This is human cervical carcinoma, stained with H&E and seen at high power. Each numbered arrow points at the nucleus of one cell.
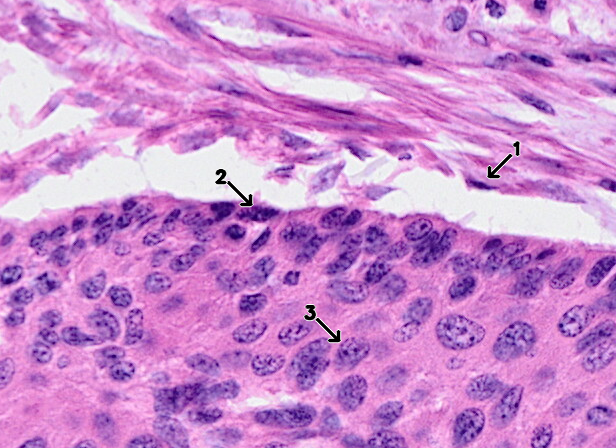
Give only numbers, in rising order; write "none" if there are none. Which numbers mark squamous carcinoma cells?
2, 3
